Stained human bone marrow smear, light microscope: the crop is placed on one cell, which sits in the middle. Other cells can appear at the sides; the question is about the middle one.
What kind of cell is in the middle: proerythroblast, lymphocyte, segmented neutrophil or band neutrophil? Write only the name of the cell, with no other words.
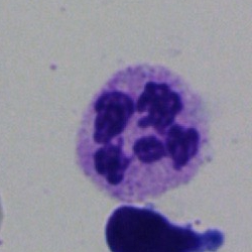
segmented neutrophil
